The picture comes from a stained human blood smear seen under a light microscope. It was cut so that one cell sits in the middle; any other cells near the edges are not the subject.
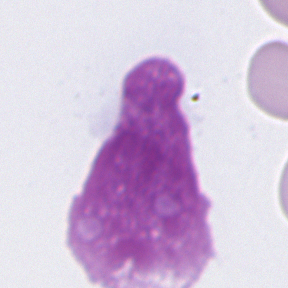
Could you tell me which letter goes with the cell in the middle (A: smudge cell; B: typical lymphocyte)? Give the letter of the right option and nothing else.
A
